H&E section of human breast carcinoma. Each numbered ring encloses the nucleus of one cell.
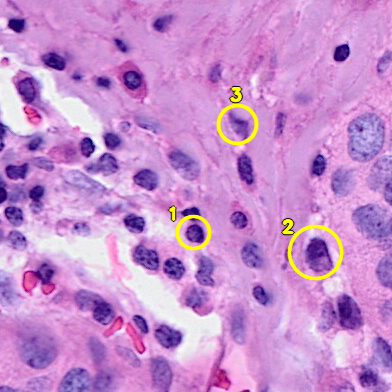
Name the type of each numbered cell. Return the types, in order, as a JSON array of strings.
["lymphocyte", "carcinoma cell", "fibroblast"]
